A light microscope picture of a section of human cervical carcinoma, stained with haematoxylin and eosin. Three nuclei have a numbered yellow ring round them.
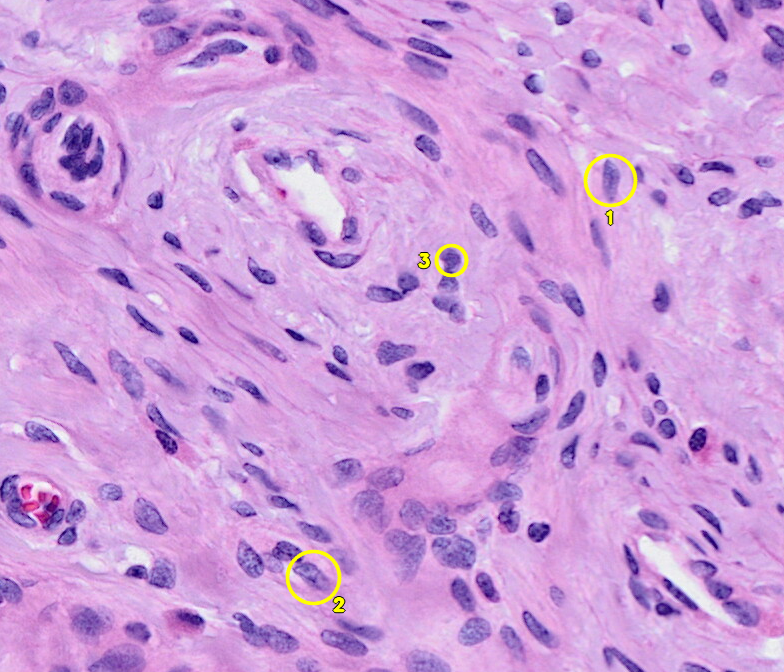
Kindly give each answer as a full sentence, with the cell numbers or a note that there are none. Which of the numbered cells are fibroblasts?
In terms of cell type, cells 1 and 3 are fibroblasts.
